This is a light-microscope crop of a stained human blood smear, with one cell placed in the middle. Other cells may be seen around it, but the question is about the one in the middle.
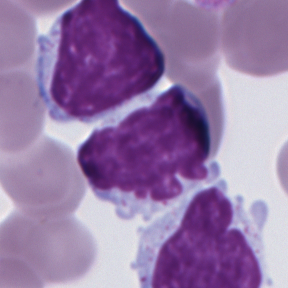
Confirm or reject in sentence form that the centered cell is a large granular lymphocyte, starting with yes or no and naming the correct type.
Yes, it is a large granular lymphocyte that lies in the middle.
